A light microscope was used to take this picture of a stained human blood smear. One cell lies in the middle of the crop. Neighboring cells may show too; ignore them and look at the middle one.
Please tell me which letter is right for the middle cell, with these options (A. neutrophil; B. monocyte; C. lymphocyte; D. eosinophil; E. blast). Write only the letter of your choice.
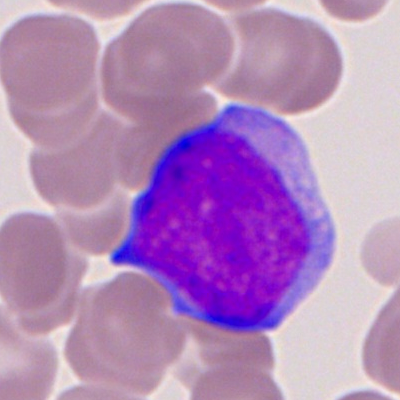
E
